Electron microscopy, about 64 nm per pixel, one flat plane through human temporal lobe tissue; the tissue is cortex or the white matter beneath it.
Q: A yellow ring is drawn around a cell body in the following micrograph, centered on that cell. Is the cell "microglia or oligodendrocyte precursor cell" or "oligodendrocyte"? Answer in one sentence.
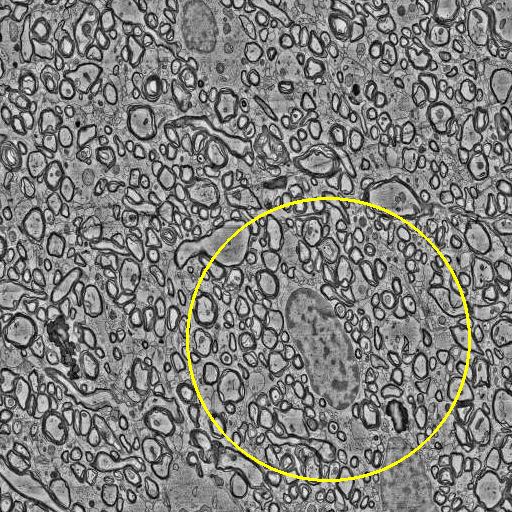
The cell in the center of the ring is a microglial cell or oligodendrocyte precursor cell.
